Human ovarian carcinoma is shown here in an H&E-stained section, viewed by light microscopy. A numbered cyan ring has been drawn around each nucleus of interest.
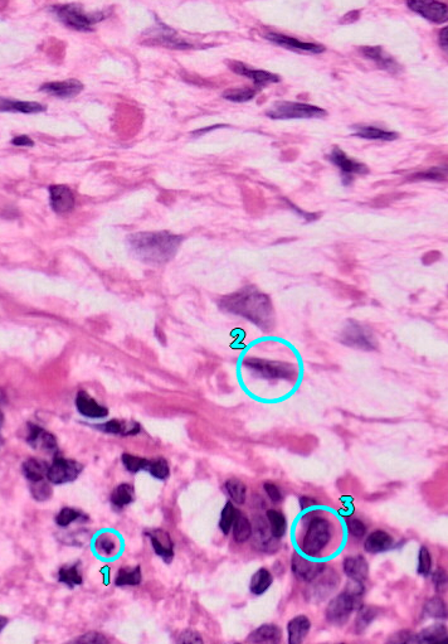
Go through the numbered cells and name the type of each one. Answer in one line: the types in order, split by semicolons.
macrophage or monocyte; fibroblast; carcinoma cell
